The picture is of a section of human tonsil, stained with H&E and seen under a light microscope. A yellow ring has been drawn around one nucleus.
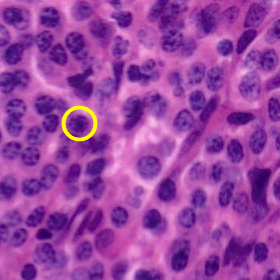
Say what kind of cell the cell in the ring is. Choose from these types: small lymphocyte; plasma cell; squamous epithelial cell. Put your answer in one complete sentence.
The classification of the cell in the ring is as a plasma cell.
